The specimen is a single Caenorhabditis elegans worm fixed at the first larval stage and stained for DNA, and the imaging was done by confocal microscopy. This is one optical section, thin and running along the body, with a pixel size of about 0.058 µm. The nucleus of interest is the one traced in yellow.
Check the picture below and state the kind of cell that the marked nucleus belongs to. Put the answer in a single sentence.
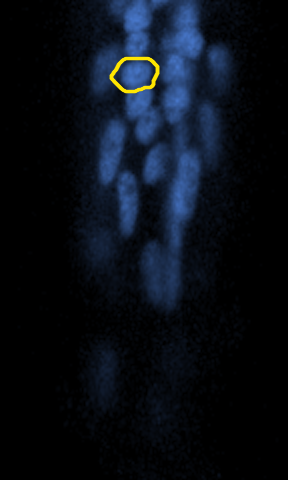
This is the nucleus of an arcade cell.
